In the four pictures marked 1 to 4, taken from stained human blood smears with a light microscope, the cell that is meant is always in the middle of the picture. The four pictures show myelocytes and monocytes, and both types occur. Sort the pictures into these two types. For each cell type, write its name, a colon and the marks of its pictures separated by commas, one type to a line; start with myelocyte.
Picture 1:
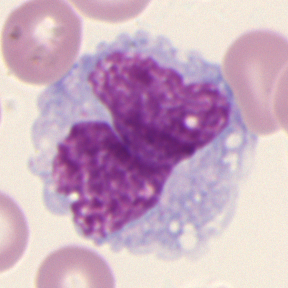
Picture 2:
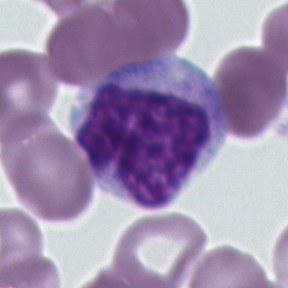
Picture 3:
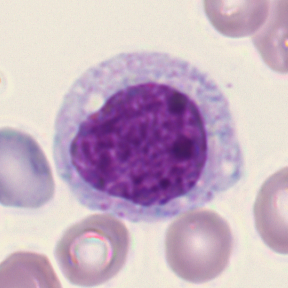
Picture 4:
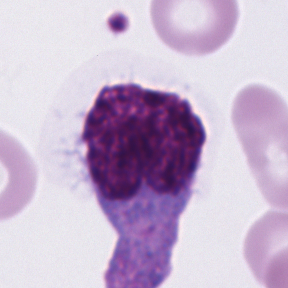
myelocyte: 3
monocyte: 1, 2, 4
